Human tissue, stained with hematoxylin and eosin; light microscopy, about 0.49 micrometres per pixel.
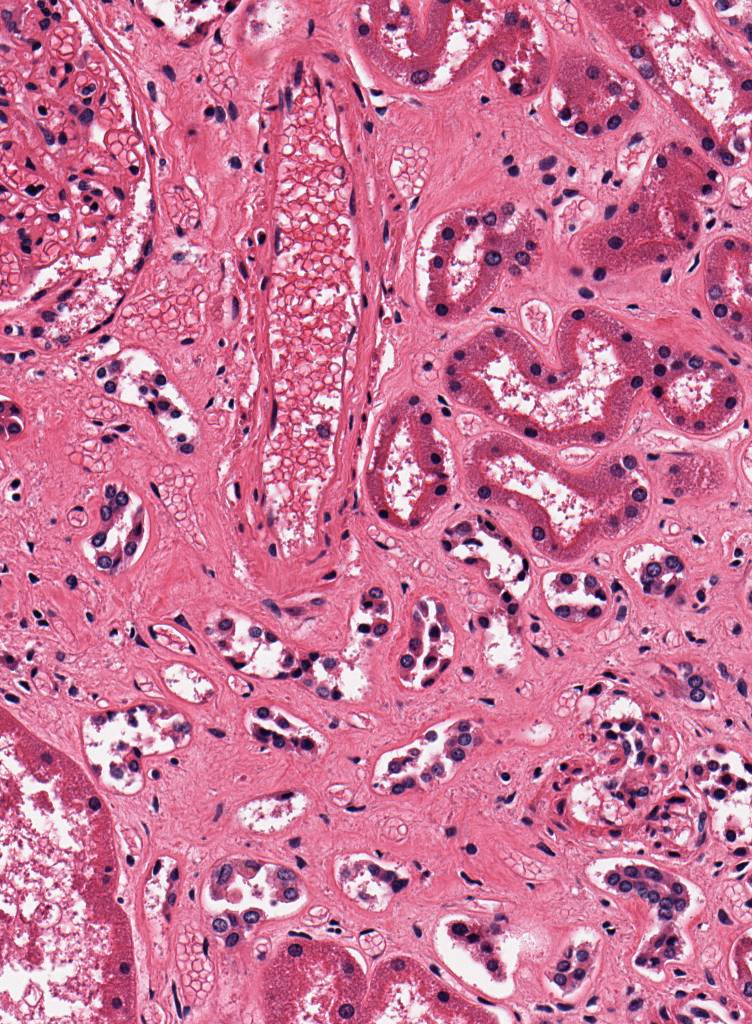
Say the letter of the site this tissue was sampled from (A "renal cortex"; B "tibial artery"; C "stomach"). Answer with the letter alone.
A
